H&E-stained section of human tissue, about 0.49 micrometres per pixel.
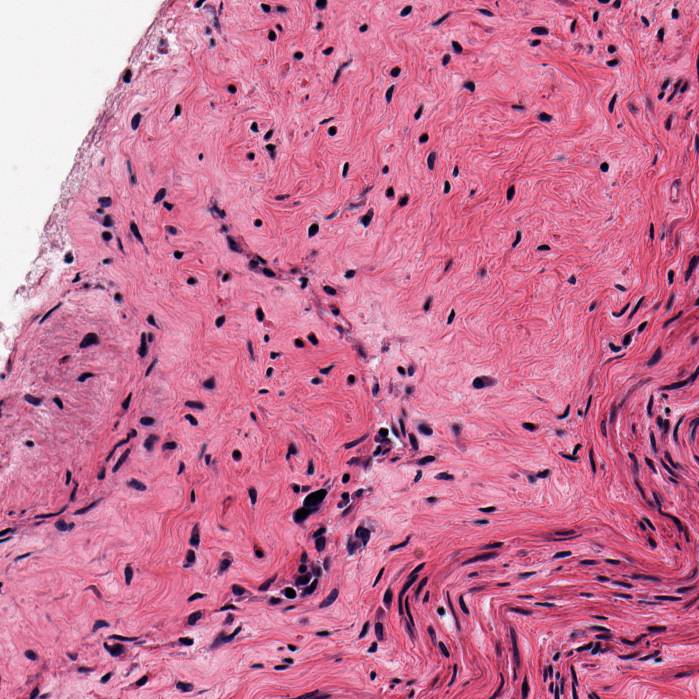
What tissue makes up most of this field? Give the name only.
dense connective tissue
